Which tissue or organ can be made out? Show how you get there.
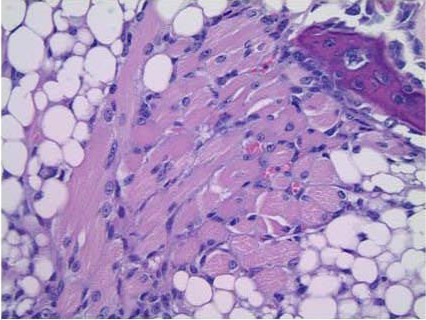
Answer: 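Bundles of pink elongated fibers with nuclei running through the centre of the field. Fat cells with empty round vacuoles on both sides. A piece of dense magenta matrix in the upper right corner.
Answer: muscle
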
